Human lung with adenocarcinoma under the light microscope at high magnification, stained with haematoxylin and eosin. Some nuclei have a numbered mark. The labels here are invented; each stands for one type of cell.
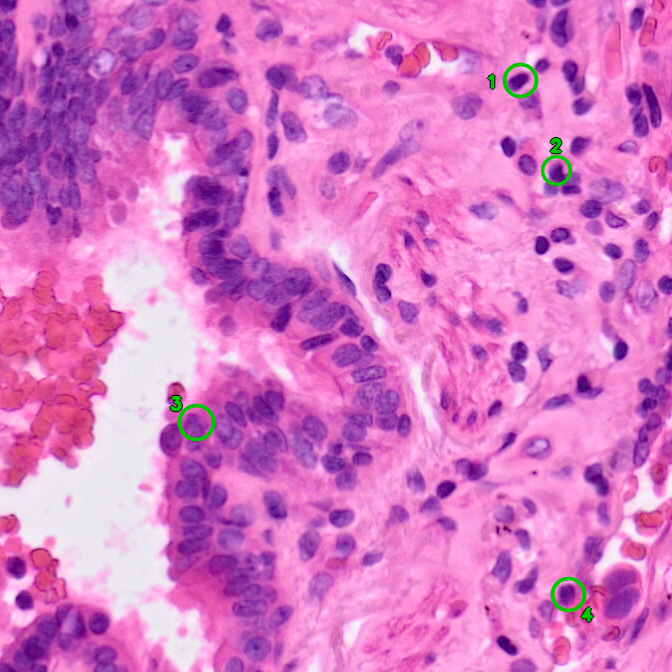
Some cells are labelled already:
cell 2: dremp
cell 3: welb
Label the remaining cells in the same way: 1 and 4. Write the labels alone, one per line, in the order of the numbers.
dremp
dremp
